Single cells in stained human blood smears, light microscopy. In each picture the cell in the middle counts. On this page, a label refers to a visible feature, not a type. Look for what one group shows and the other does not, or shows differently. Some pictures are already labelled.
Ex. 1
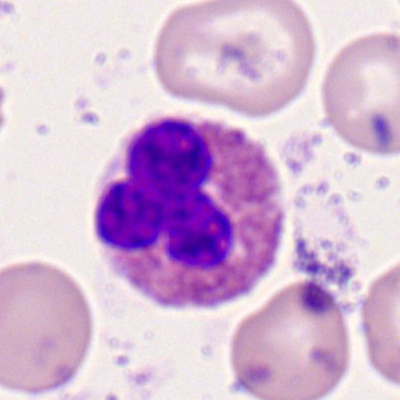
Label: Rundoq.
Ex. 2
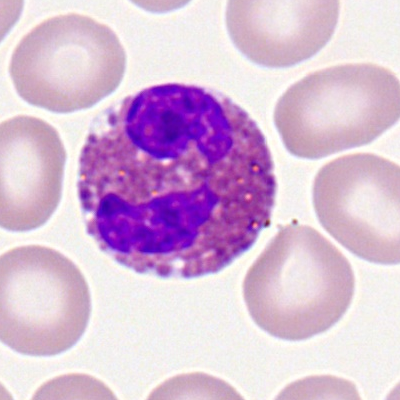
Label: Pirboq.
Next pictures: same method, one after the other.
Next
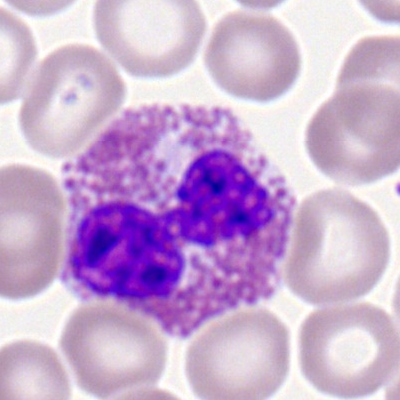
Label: Pirboq.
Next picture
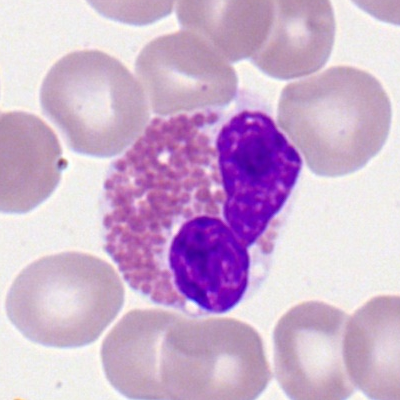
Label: Pirboq.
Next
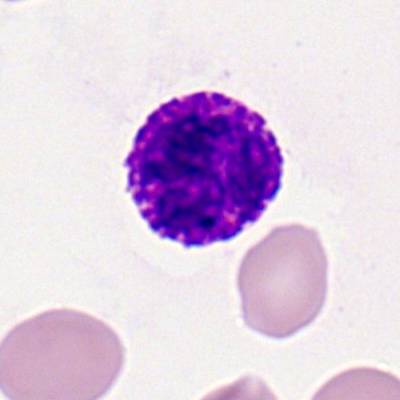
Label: Pirboq.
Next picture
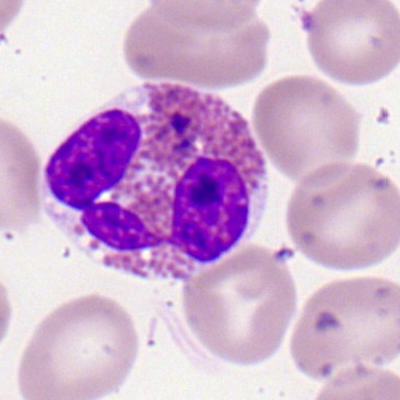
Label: Pirboq.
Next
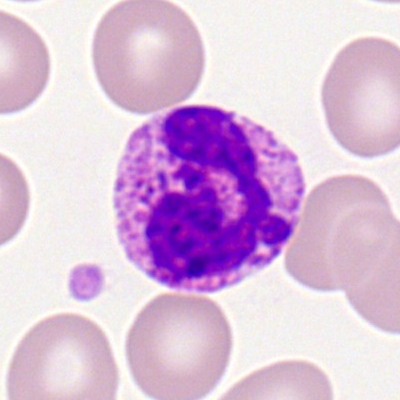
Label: Rundoq.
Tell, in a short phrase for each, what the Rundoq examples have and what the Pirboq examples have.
In Rundoq: fine or small granules. In Pirboq: coarse or large granules.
